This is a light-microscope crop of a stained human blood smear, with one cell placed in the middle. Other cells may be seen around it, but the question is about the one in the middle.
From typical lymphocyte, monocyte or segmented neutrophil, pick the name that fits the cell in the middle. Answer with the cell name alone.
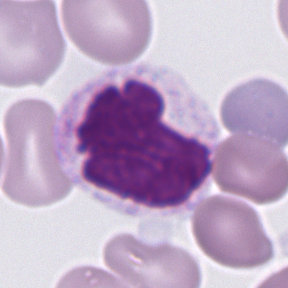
segmented neutrophil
